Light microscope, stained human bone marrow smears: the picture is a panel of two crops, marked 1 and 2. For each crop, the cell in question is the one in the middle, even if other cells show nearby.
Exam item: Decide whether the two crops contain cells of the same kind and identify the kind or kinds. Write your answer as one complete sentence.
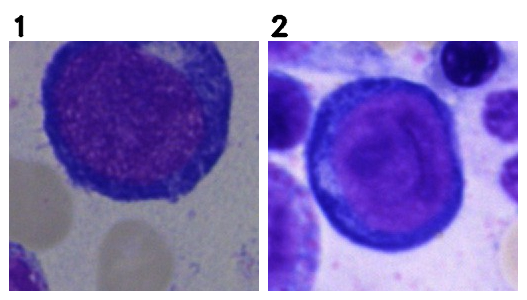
Yes, both crops show proerythroblasts as the central cells.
